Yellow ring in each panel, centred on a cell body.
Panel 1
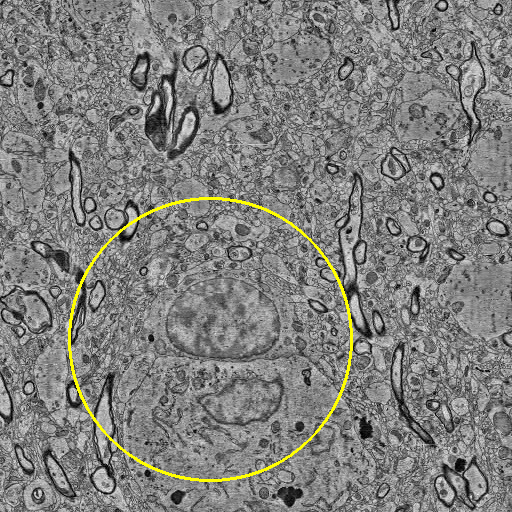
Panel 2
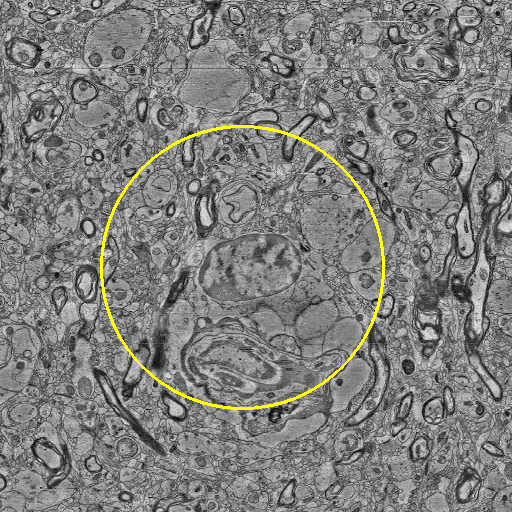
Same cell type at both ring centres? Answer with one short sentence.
No, the two cells are of two types.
